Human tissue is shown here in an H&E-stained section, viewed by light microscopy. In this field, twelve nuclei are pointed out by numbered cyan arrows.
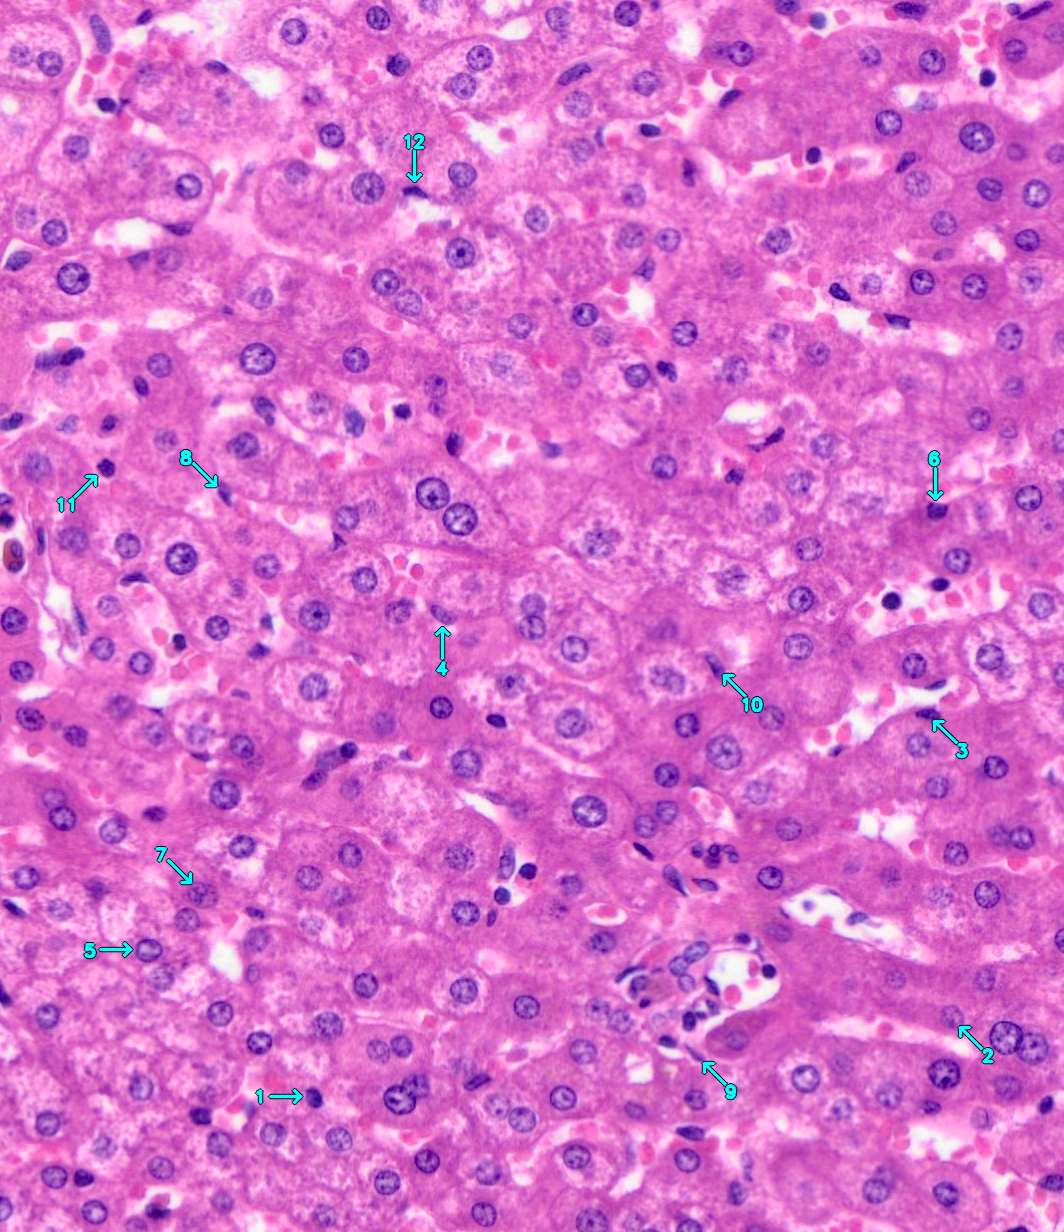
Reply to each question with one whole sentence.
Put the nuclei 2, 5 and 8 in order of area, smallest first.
From smallest to largest, the order is 8, 2, 5.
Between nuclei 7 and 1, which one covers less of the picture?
Nucleus 1 is the smaller one; nucleus 7 covers about 1.5 times its area.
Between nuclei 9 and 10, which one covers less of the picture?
It is nucleus 9; nucleus 10 has about 2 times its area.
